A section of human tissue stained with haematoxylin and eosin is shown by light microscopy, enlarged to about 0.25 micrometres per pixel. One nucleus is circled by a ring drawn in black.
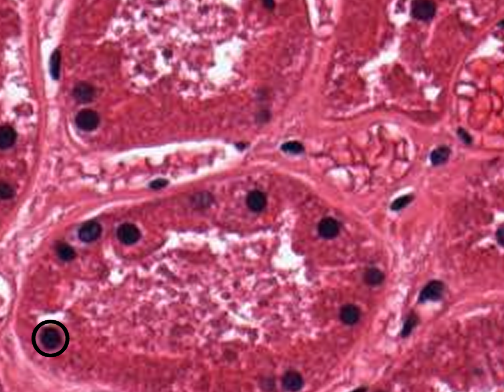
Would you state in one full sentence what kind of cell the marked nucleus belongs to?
The mark indicates the nucleus of a proximal tubule cell.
